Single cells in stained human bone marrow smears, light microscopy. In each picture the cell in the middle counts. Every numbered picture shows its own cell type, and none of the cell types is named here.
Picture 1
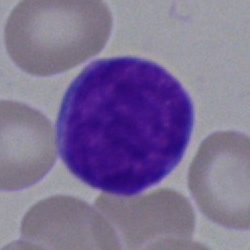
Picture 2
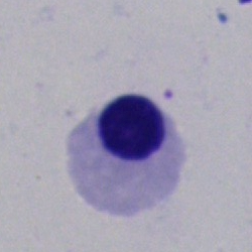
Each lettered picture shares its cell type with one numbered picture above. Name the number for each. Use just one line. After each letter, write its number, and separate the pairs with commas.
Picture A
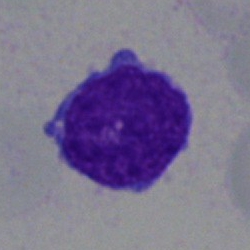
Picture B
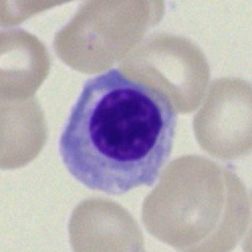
A 1, B 2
